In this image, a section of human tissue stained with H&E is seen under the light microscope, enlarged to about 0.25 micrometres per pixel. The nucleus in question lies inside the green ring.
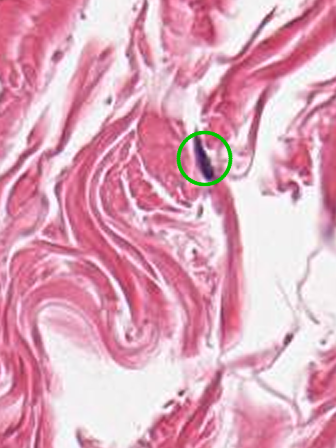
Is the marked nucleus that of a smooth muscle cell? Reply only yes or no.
no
